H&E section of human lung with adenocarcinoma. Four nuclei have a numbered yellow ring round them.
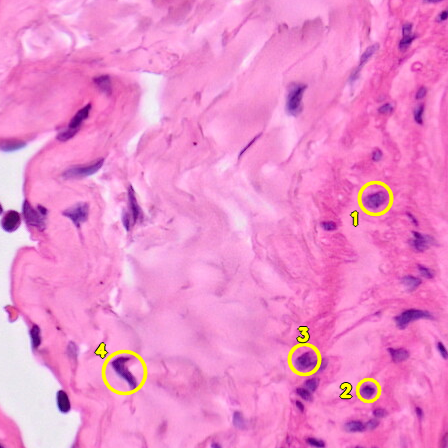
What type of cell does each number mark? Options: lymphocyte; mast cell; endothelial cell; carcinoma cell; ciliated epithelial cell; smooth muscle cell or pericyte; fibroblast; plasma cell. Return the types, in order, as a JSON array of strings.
["smooth muscle cell or pericyte", "smooth muscle cell or pericyte", "smooth muscle cell or pericyte", "fibroblast"]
